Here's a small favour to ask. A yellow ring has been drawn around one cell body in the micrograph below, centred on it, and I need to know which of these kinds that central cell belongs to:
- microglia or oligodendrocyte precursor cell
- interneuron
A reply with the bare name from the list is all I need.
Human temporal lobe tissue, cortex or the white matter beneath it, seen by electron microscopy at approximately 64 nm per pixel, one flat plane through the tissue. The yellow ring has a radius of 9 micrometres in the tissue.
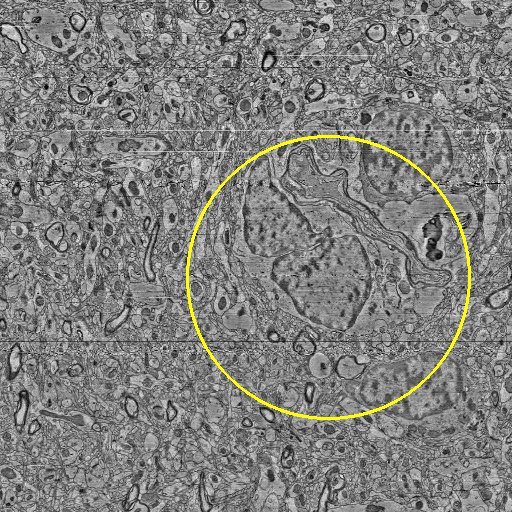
microglia or oligodendrocyte precursor cell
